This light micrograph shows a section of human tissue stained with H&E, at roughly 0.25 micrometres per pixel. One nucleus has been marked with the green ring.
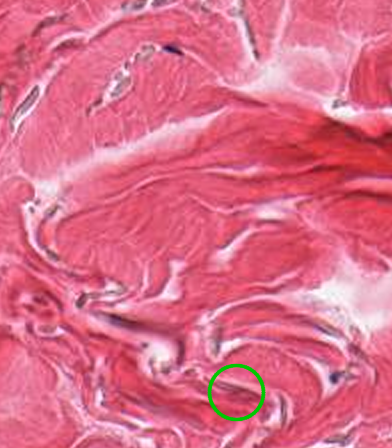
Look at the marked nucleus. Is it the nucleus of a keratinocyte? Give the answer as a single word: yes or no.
no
